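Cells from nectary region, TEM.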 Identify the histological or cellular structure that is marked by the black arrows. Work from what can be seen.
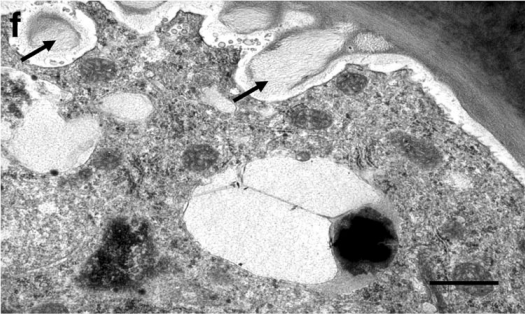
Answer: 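The arrows point to pale bulges projecting from the wall into the cell. The bulges contain loosely arranged fibrillar material. That points to this answer: cell wall ingrowths.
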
